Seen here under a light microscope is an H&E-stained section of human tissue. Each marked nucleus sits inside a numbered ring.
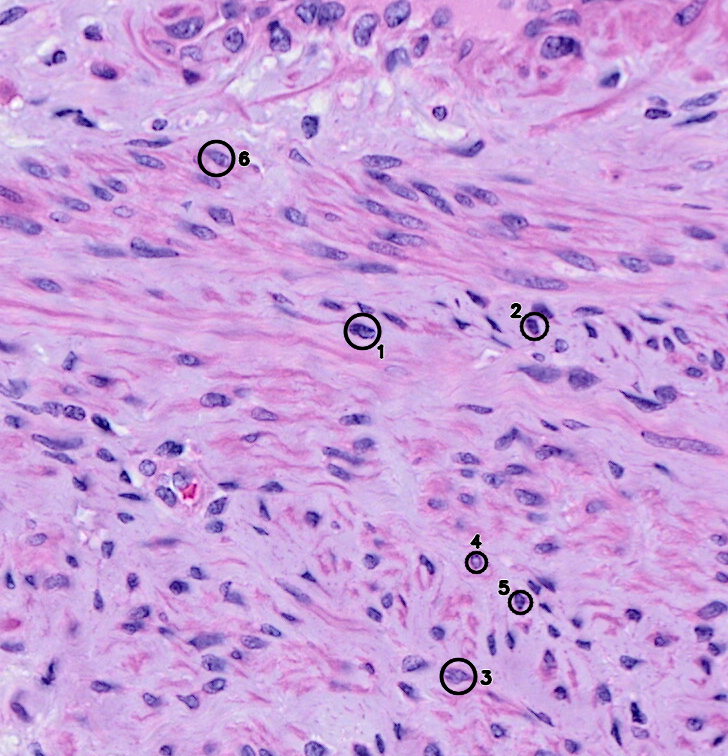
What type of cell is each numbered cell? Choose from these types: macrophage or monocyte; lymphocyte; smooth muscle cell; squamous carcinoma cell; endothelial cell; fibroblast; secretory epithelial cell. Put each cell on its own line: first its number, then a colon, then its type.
1: lymphocyte
2: fibroblast
3: smooth muscle cell
4: smooth muscle cell
5: smooth muscle cell
6: smooth muscle cell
